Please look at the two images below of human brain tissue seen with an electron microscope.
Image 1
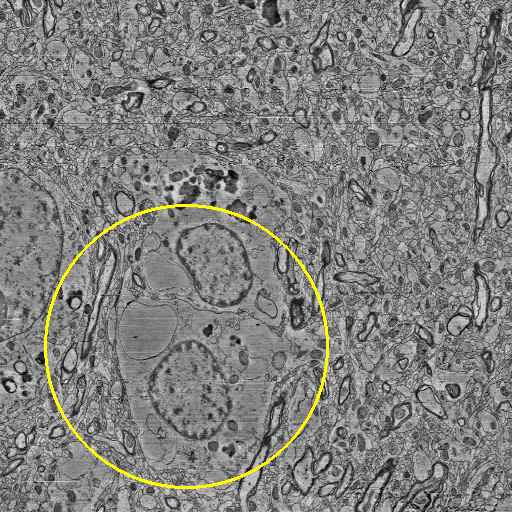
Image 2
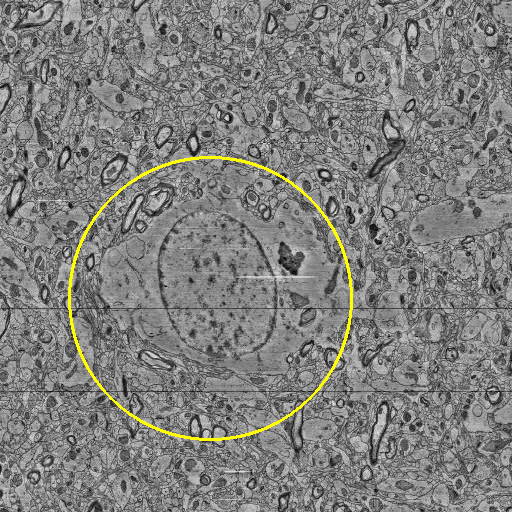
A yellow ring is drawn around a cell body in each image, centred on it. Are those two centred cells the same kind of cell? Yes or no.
yes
